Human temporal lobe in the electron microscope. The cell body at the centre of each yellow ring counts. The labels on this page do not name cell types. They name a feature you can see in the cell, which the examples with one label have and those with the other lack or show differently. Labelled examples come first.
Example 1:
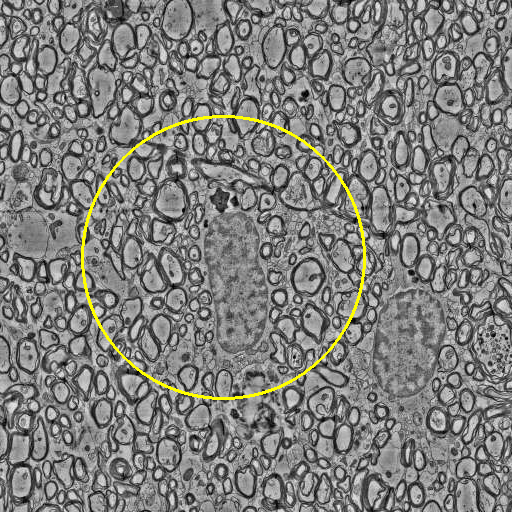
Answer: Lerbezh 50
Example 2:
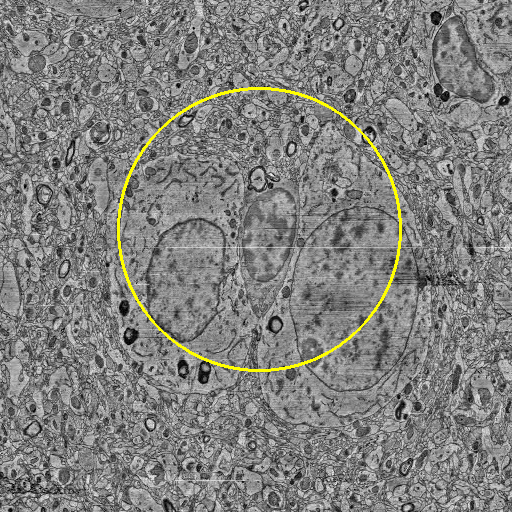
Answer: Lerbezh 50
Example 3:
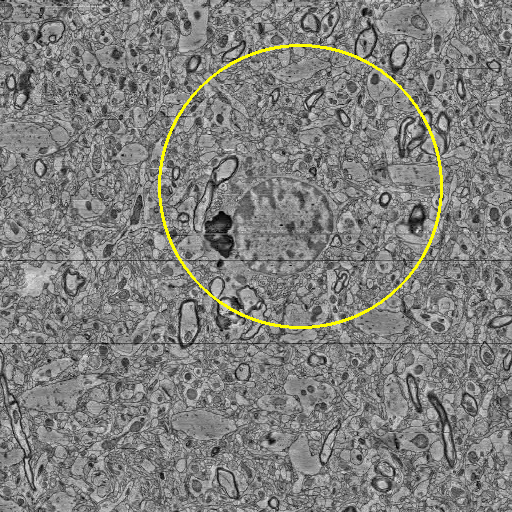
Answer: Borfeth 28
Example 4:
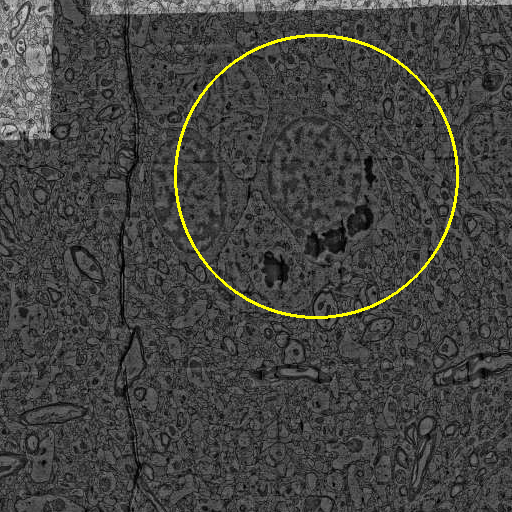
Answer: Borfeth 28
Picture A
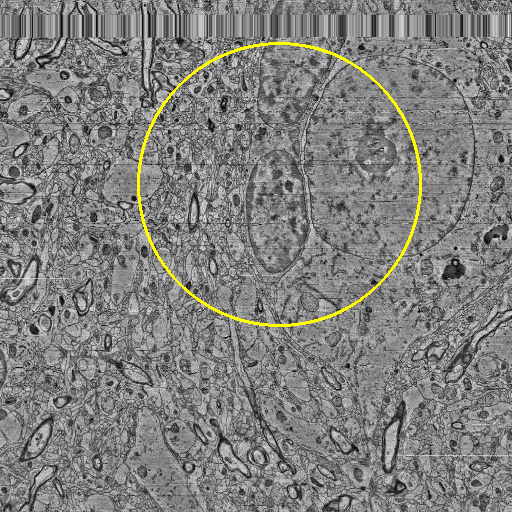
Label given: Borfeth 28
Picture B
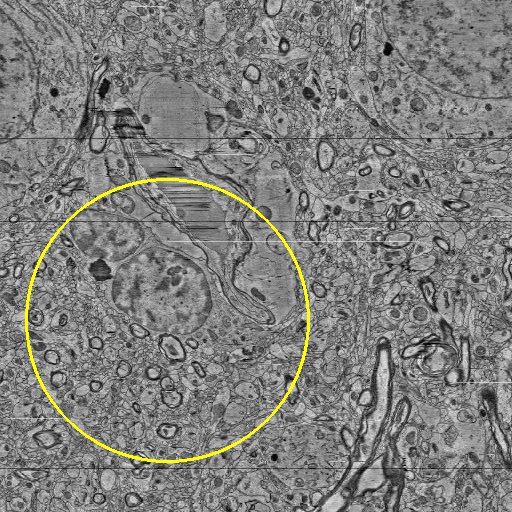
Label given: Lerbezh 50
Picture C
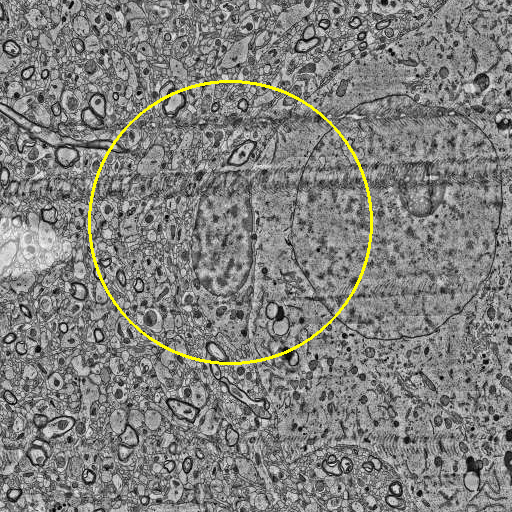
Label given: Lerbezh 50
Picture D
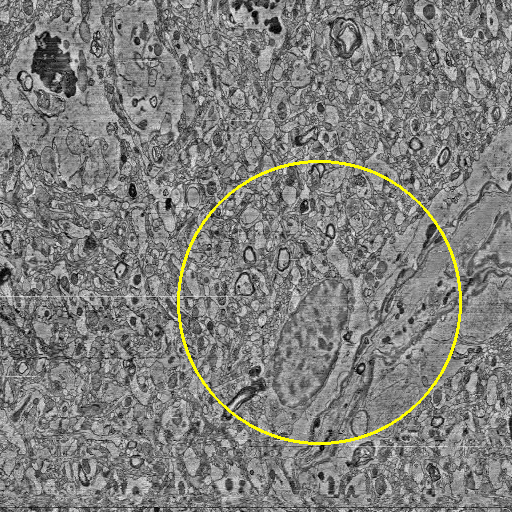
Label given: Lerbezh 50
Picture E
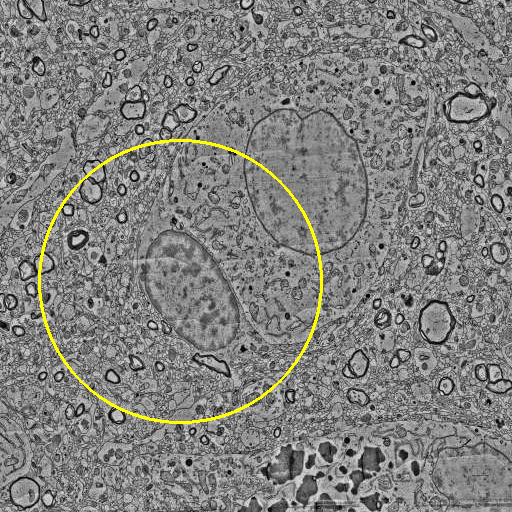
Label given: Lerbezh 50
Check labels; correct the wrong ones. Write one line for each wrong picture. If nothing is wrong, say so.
A: Lerbezh 50, not Borfeth 28
B: Borfeth 28, not Lerbezh 50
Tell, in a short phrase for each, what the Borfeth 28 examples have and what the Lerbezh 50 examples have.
Borfeth 28: round or nearly round nuclei; Lerbezh 50: clearly elongated nuclei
